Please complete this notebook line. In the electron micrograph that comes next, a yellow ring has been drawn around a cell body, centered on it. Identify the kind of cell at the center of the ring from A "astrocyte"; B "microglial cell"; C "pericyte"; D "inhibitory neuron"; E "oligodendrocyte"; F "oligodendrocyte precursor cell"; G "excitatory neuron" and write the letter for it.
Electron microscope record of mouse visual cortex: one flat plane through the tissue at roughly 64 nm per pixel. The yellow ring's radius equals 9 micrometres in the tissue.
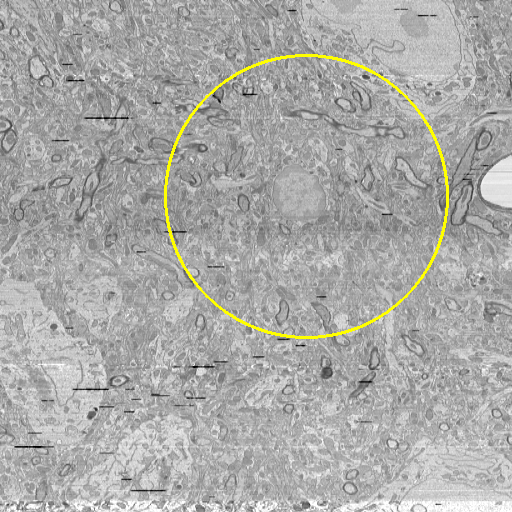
B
